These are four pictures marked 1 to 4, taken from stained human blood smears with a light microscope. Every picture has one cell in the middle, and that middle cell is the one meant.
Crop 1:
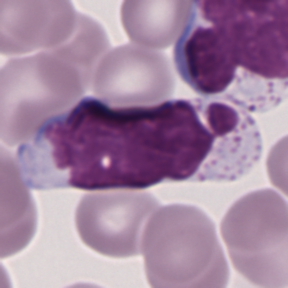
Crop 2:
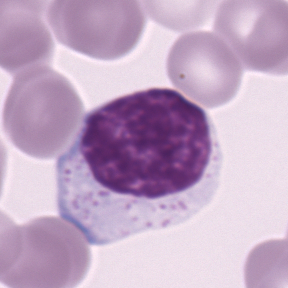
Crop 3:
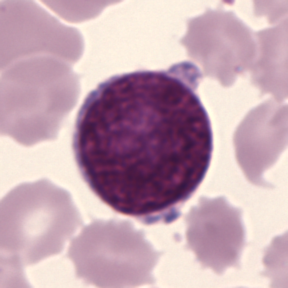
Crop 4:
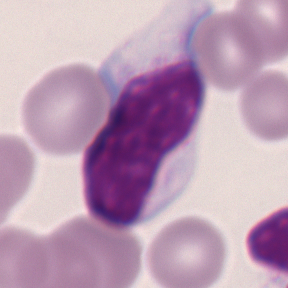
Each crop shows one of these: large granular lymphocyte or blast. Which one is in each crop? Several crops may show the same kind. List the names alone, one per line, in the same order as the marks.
large granular lymphocyte
large granular lymphocyte
blast
large granular lymphocyte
